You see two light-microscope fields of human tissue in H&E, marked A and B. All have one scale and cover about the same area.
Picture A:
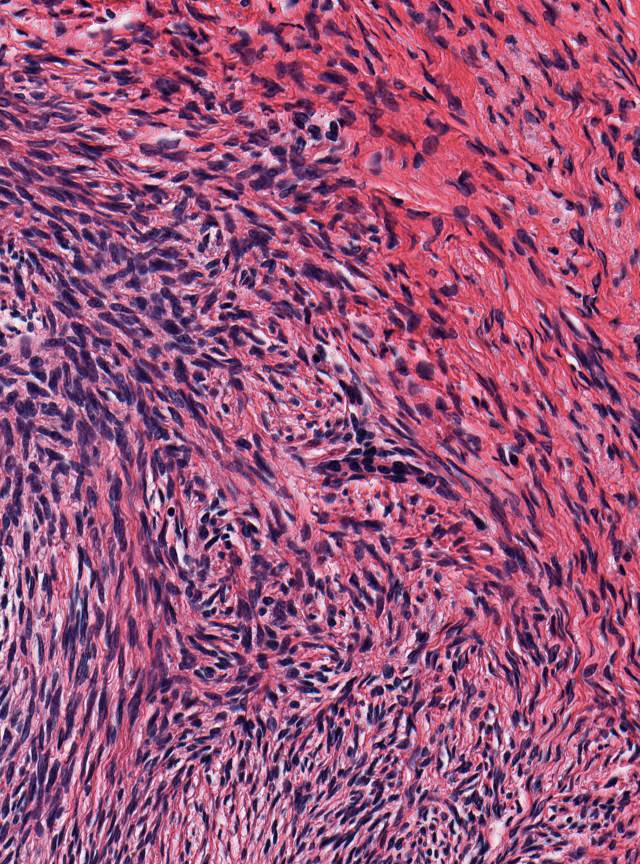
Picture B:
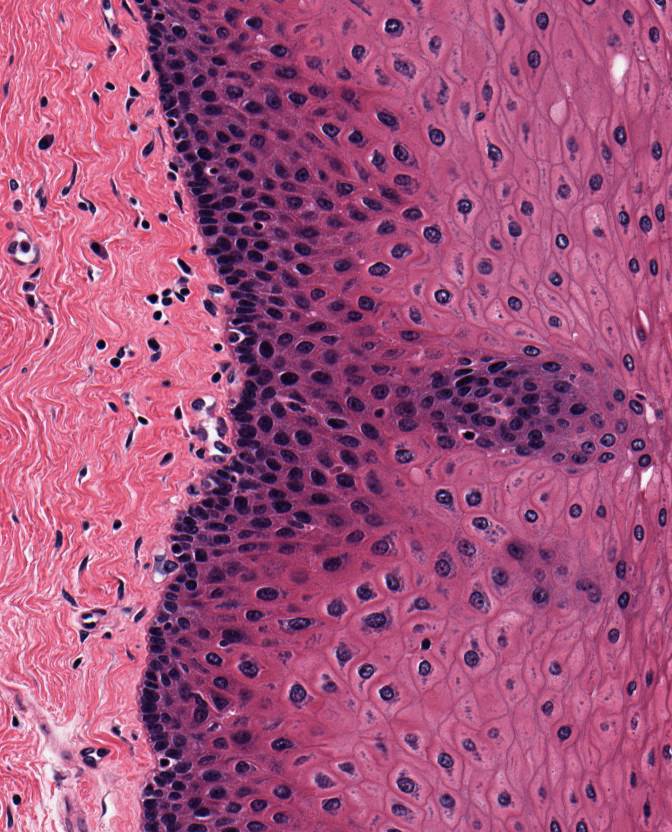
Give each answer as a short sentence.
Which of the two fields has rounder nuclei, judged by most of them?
Rounder nuclei lie in picture B.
